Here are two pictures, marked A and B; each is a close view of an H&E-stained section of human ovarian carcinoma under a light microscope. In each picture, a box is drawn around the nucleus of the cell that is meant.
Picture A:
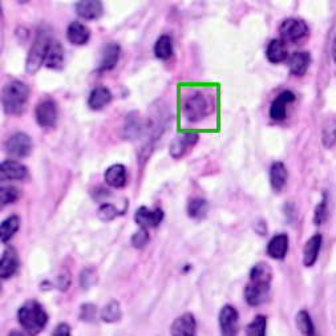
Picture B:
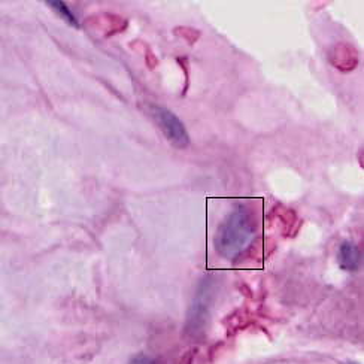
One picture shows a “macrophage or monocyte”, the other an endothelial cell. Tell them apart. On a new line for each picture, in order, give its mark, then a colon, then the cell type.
A: macrophage or monocyte
B: endothelial cell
